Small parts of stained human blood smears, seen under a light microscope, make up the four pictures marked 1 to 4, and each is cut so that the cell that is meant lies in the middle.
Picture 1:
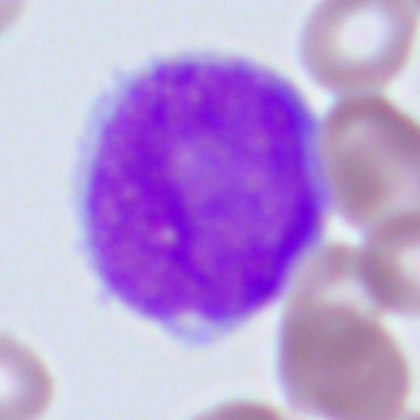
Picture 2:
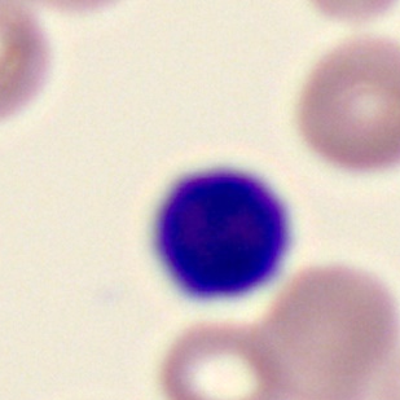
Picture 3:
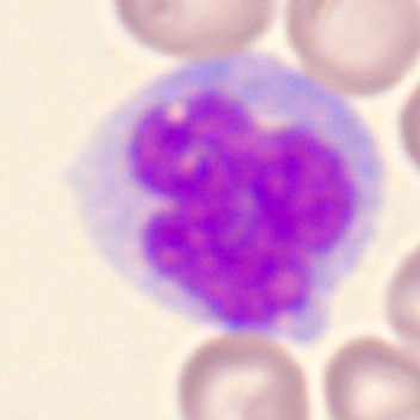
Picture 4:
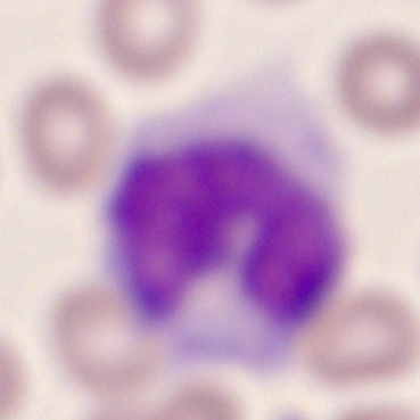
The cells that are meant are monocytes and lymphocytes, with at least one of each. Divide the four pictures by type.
1: monocyte
2: lymphocyte
3: monocyte
4: monocyte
